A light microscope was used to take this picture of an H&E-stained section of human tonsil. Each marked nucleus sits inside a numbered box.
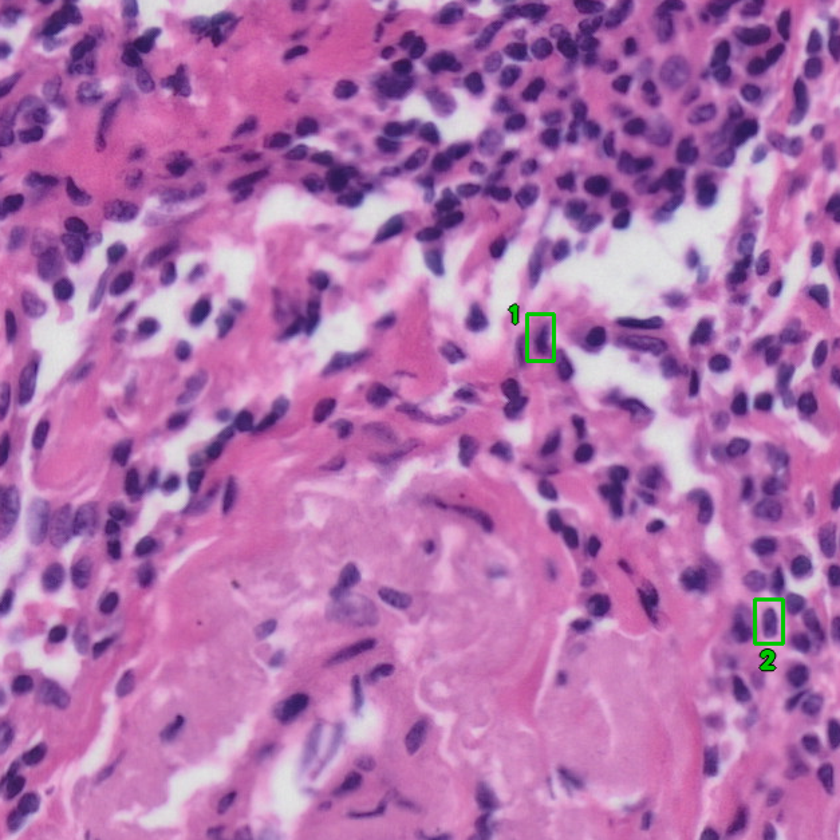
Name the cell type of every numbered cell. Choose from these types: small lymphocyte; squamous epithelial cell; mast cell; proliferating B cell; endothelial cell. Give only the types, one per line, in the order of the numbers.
endothelial cell
mast cell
